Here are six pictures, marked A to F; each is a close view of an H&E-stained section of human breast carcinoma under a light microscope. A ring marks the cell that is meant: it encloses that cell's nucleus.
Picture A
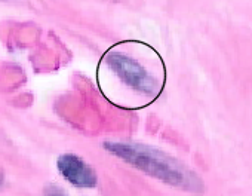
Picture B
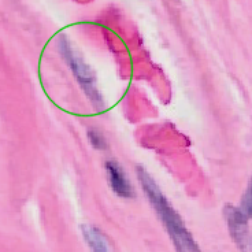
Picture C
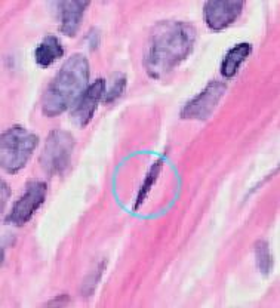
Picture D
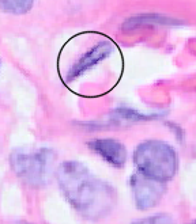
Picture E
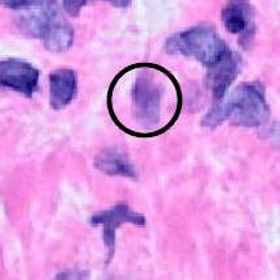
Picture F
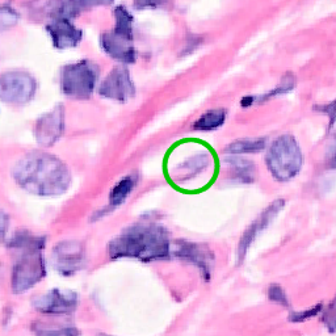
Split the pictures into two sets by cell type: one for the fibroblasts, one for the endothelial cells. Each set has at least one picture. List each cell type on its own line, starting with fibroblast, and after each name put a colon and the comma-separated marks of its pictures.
fibroblast: C, E
endothelial cell: A, B, D, F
